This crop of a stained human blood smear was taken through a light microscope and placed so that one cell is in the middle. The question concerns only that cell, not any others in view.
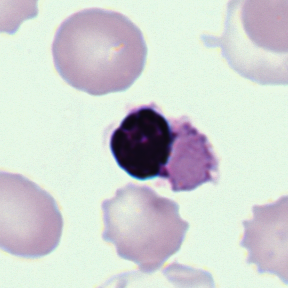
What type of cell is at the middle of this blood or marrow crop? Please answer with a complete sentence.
In the crop, the cell of interest at the centre is a normoblast.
